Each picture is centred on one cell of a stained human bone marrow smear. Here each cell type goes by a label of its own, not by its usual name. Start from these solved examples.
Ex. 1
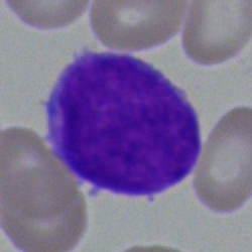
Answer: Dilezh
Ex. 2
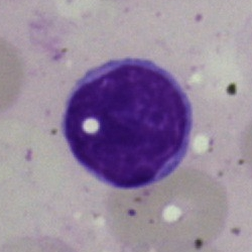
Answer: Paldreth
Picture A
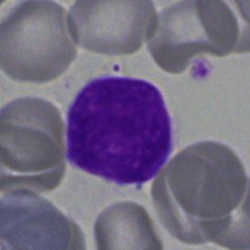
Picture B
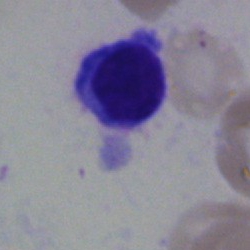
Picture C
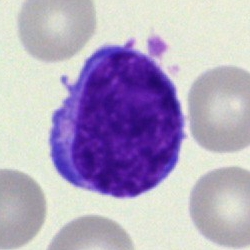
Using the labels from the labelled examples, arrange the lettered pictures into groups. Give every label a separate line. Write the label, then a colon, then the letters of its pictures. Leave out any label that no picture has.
Dilezh: C
Paldreth: A, B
